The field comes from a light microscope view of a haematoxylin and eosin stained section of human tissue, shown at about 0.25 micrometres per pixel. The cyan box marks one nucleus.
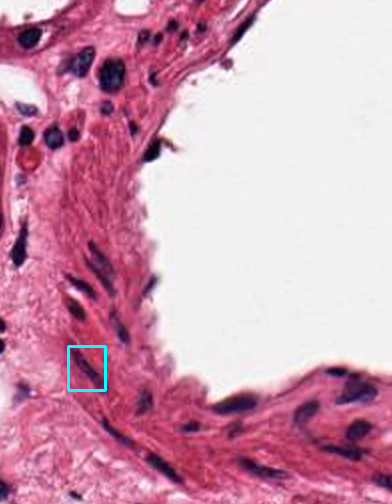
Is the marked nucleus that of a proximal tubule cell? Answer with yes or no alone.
no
